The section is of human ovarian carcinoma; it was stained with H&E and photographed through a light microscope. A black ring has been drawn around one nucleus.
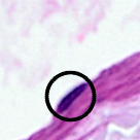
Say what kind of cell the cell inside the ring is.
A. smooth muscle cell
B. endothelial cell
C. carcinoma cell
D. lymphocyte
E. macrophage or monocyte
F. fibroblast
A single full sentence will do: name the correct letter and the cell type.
In this case the cell inside the ring is an endothelial cell, so option B is correct.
